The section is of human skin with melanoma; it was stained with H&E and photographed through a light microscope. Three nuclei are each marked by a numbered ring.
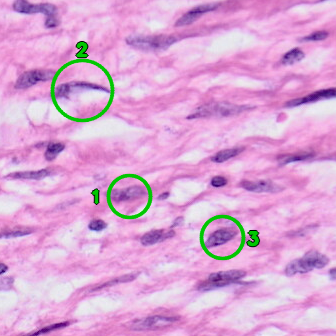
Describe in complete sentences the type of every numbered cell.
Cell 1 is a fibroblast or myofibroblast, cell 2 is a fibroblast or myofibroblast and cell 3 is a macrophage or monocyte.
